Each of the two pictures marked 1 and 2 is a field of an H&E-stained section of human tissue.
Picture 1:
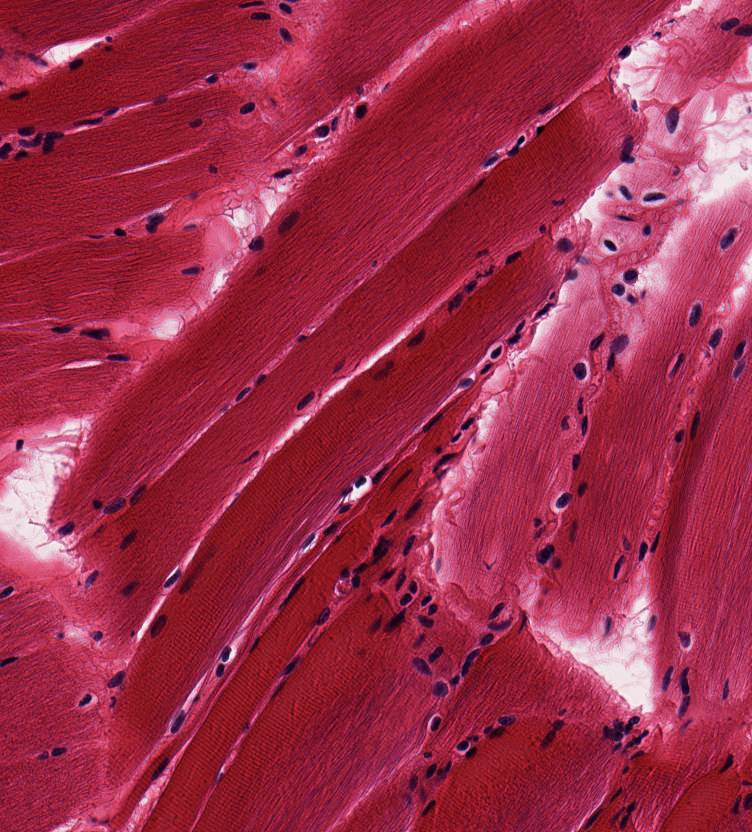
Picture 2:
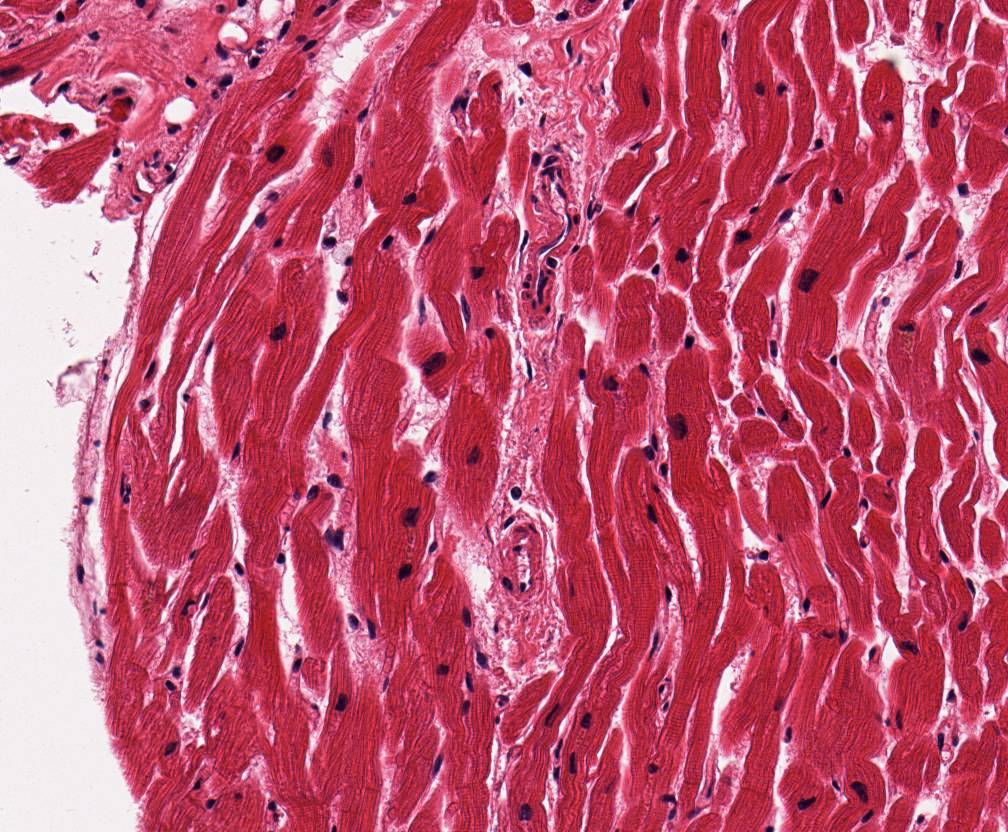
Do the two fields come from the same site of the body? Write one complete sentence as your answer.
No, picture 1 comes from skeletal muscle and picture 2 comes from the left ventricle of the heart.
